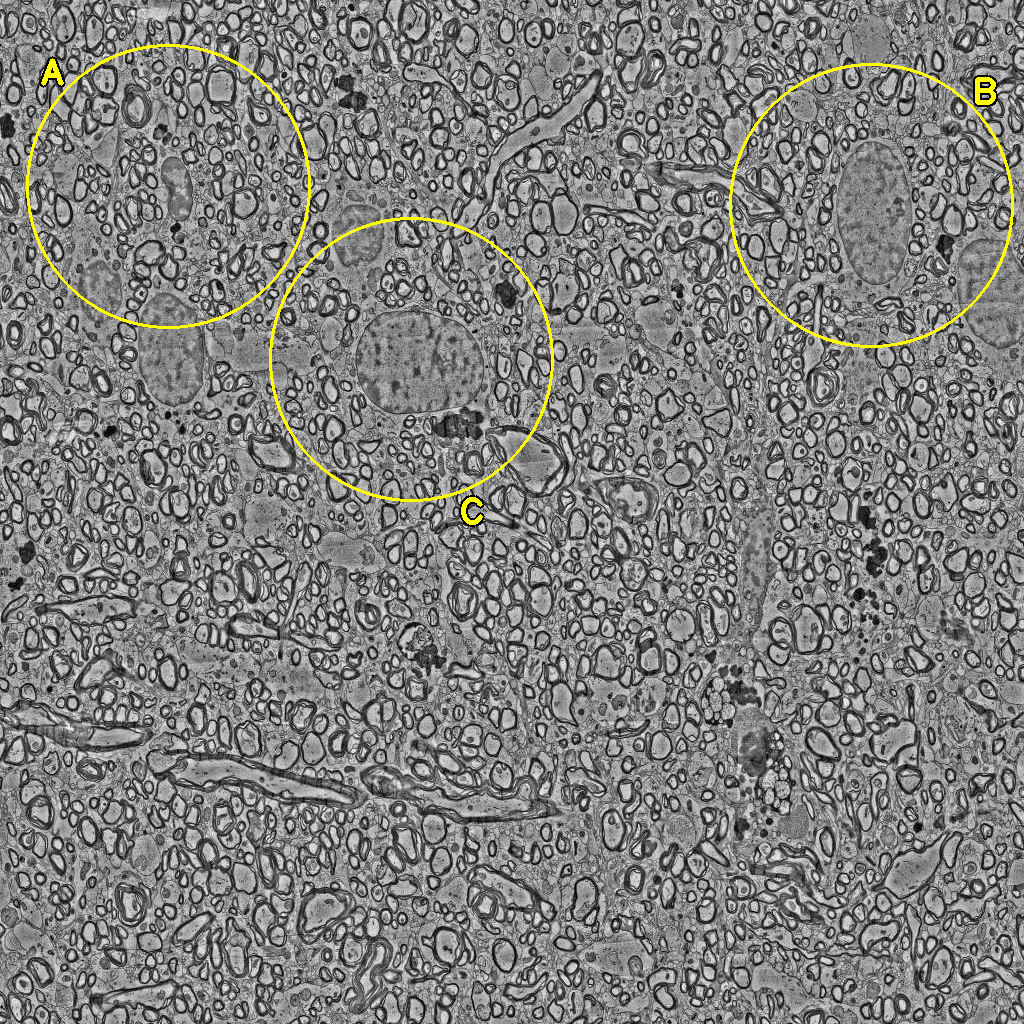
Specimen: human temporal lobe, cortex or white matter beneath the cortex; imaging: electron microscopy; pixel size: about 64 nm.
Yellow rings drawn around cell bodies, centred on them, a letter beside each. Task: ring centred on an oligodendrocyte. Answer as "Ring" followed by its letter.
Ring B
